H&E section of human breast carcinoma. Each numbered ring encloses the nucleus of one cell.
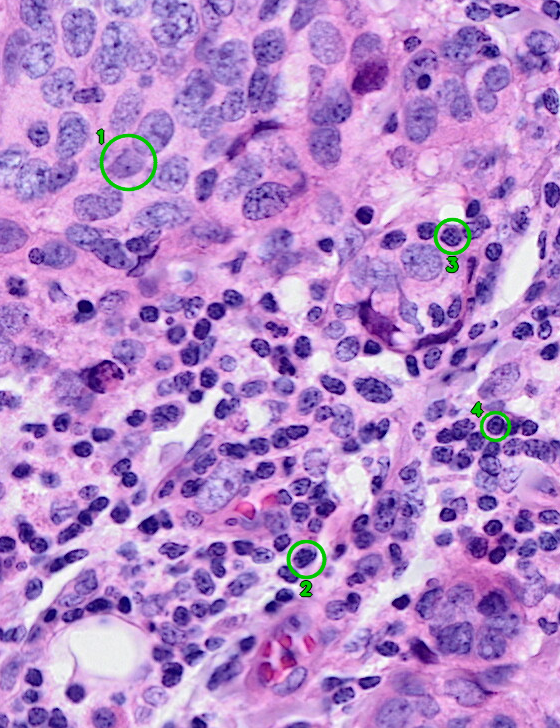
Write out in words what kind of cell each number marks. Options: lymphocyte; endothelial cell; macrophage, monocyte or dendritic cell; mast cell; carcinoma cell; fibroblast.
Cell 1 is a carcinoma cell. Cells 2, 3 and 4 are lymphocytes.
